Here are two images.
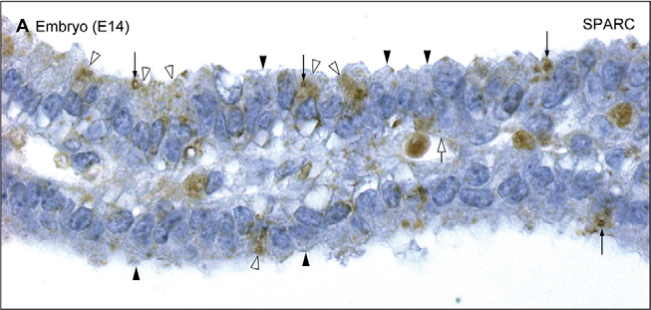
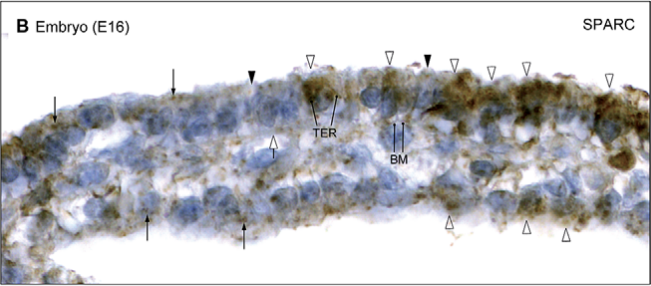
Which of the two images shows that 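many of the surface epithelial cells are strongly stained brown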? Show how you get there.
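Second image: a long stretch of the upper epithelial layer is densely brown. First image: only scattered cells show faint fine brown granules, most are blue only. The answer: the second image.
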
